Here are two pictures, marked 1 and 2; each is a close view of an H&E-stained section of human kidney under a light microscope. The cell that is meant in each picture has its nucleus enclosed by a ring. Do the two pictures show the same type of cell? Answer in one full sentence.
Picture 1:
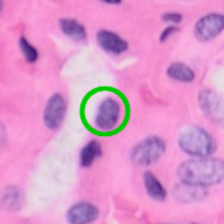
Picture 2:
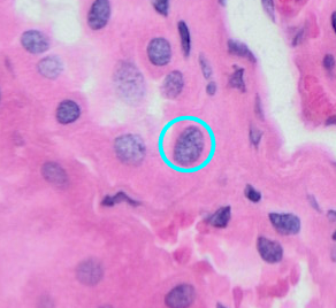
Yes, both cells are “loop of Henle or distal tubule cells”.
